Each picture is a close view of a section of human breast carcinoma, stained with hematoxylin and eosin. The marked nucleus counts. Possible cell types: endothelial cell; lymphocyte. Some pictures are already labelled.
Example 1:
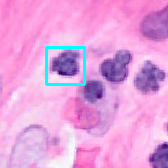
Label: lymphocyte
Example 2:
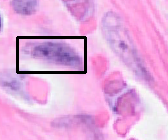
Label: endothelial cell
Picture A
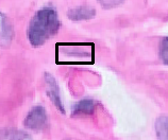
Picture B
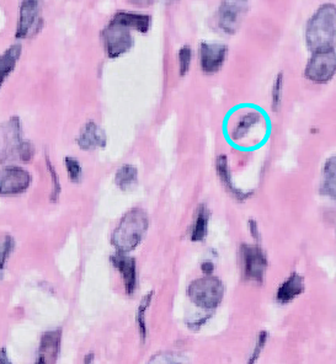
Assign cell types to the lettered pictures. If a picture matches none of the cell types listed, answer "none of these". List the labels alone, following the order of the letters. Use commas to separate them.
endothelial cell, endothelial cell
